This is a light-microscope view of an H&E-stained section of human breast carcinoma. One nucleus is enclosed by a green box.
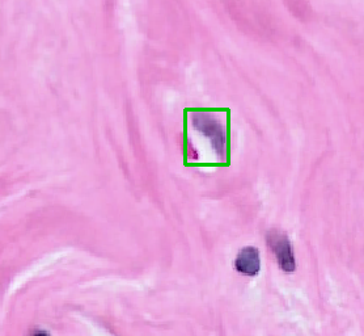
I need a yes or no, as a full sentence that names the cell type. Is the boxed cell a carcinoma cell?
No, the boxed cell is an endothelial cell, and it is not a carcinoma cell.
